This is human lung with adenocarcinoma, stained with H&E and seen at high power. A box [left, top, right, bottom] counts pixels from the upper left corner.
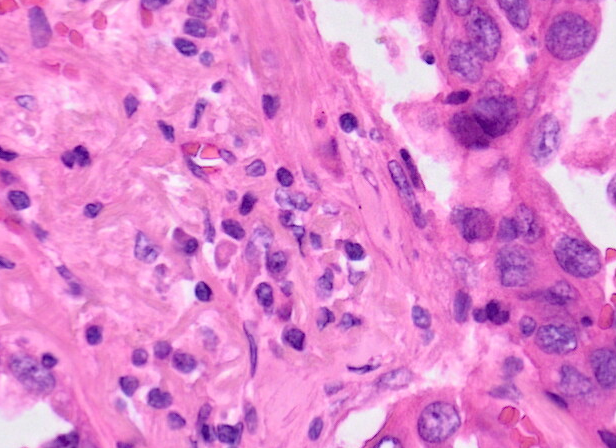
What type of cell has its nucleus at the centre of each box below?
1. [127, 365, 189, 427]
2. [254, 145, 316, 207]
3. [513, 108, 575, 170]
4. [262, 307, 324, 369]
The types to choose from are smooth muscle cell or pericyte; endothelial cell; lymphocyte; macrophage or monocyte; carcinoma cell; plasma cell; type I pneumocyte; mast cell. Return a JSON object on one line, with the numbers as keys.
{"1": "lymphocyte", "2": "lymphocyte", "3": "carcinoma cell", "4": "plasma cell"}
